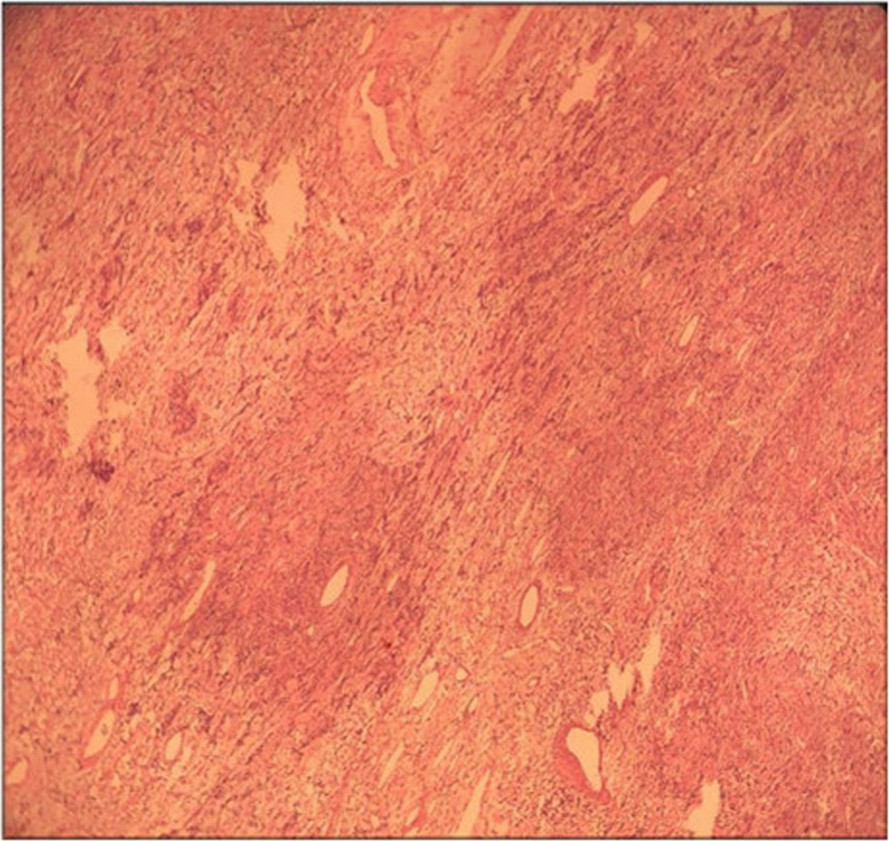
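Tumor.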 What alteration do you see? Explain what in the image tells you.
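Darker, densely cellular bands alternate with paler, loosely cellular zones across the field. The dense and pale zones run in broad streaks rather than forming one uniform sheet. The answer: the cell-rich areas and sparse areas appear alternately.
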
